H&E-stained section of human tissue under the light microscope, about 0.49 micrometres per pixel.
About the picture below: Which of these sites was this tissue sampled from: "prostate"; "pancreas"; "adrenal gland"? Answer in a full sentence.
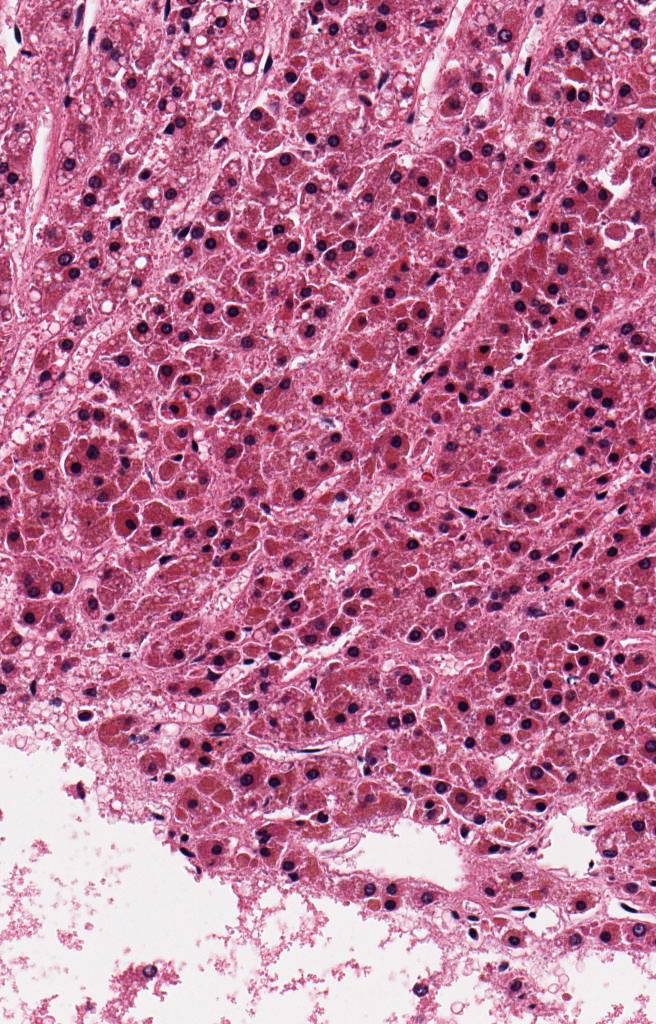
The site this tissue was sampled from is the adrenal gland.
